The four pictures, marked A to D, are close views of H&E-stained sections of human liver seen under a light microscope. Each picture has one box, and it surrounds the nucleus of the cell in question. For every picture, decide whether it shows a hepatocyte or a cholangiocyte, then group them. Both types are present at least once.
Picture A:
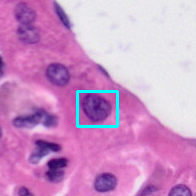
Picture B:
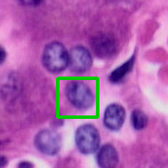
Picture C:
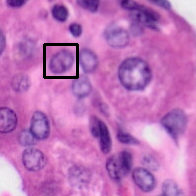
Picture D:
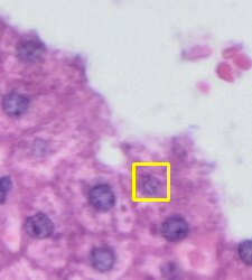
A: hepatocyte
B: cholangiocyte
C: cholangiocyte
D: hepatocyte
